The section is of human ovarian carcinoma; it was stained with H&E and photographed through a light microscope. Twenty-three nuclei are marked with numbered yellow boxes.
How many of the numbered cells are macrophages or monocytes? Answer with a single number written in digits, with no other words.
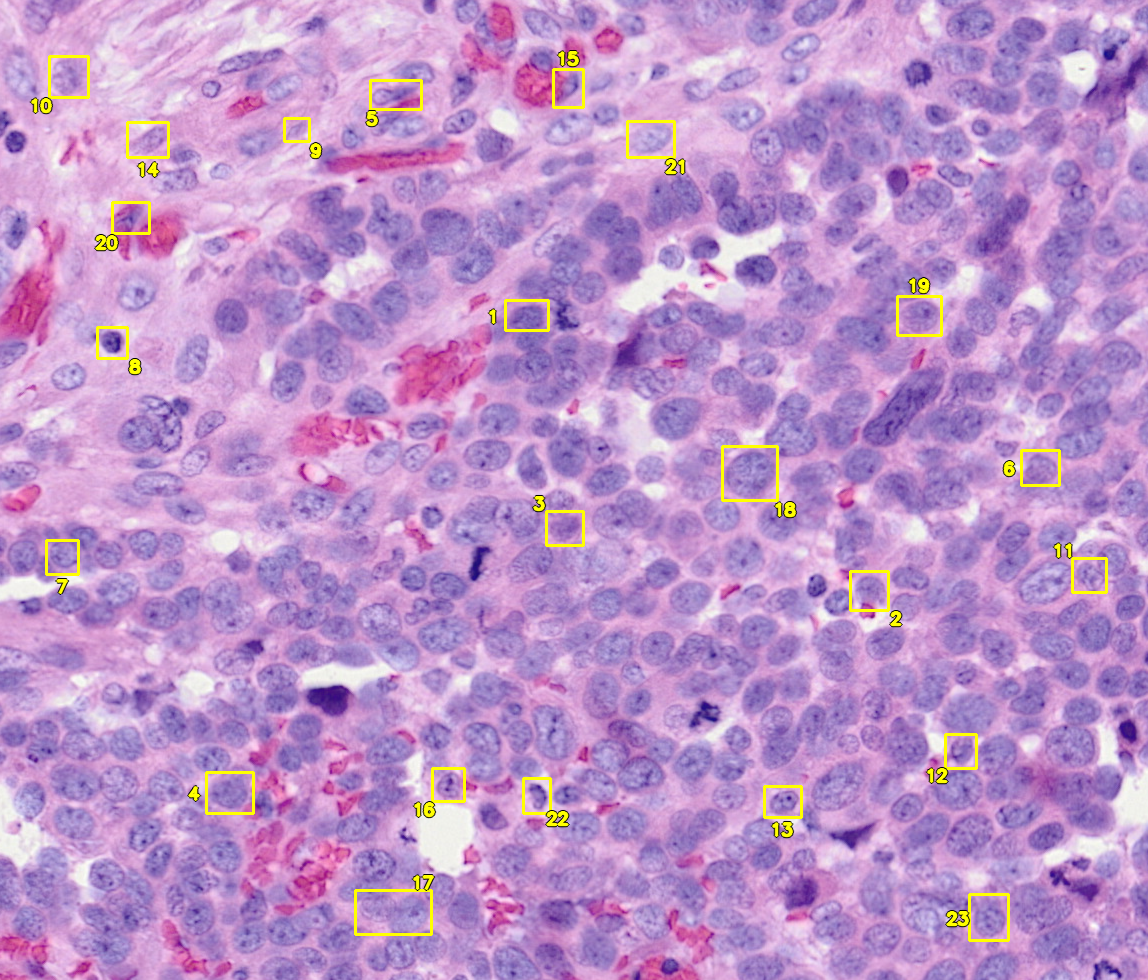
5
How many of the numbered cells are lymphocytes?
1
